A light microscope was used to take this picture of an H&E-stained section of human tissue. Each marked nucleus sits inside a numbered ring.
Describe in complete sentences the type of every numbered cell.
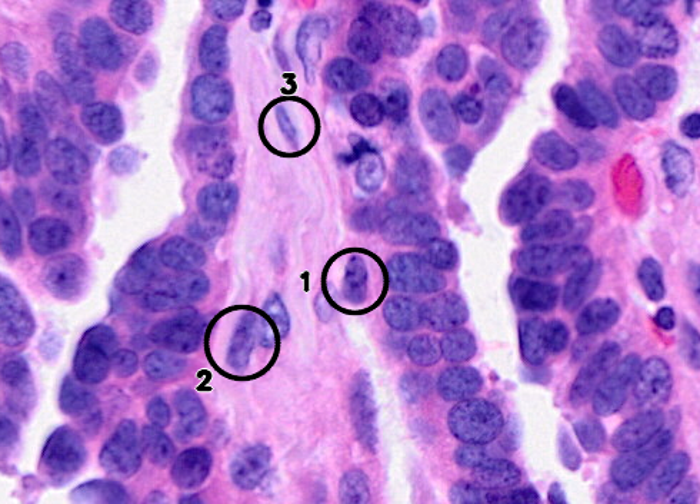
Cell 1 is a macrophage or monocyte, cell 2 is a fibroblast and cell 3 is a fibroblast.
